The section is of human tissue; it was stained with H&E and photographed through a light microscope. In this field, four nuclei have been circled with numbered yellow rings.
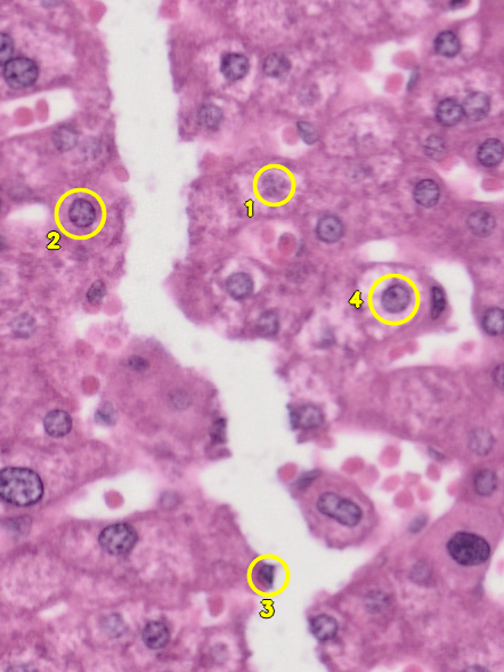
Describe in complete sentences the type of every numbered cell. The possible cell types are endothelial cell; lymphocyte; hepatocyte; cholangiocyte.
Cells 1, 2 and 4 are hepatocytes. Cell 3 is an endothelial cell.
